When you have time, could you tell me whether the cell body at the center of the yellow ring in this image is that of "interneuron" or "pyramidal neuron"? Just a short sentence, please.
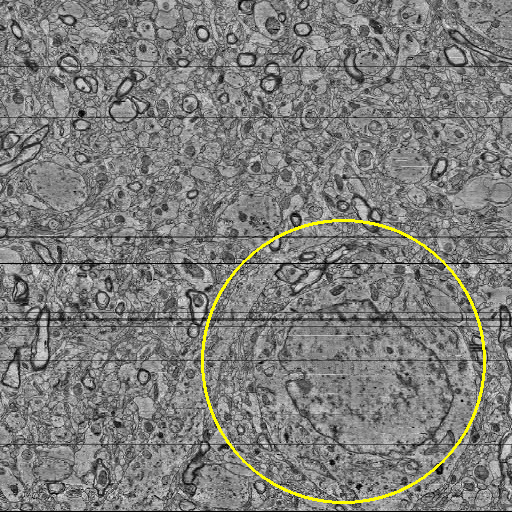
The cell body at the center of the ring is that of a pyramidal neuron.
